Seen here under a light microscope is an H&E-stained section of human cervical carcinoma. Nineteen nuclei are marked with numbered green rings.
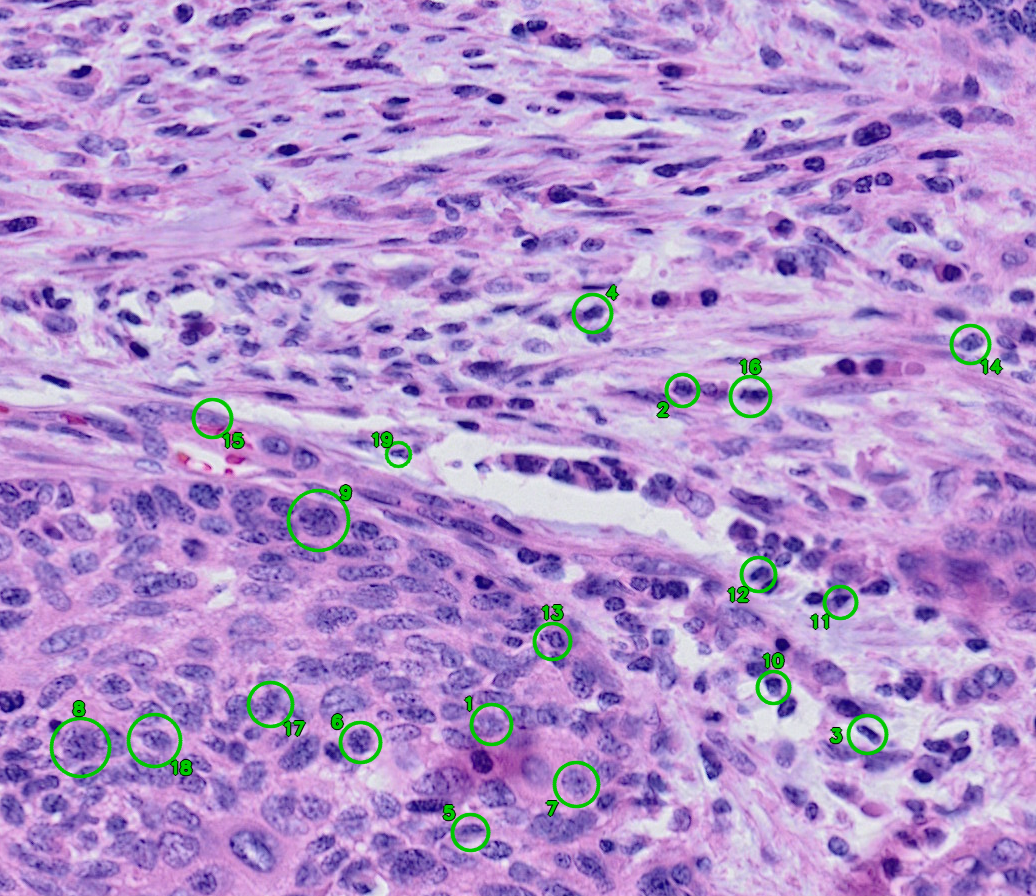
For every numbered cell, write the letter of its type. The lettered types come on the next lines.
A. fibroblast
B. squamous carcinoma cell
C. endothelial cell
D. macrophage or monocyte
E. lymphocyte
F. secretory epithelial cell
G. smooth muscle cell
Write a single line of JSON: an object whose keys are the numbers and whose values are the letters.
{"1": "B", "2": "E", "3": "E", "4": "E", "5": "B", "6": "B", "7": "B", "8": "B", "9": "B", "10": "E", "11": "E", "12": "E", "13": "B", "14": "E", "15": "C", "16": "E", "17": "B", "18": "B", "19": "E"}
